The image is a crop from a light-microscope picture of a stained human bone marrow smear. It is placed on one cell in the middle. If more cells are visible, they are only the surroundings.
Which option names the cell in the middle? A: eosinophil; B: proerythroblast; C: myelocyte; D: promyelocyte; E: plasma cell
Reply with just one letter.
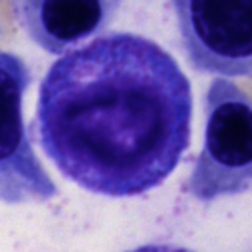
D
